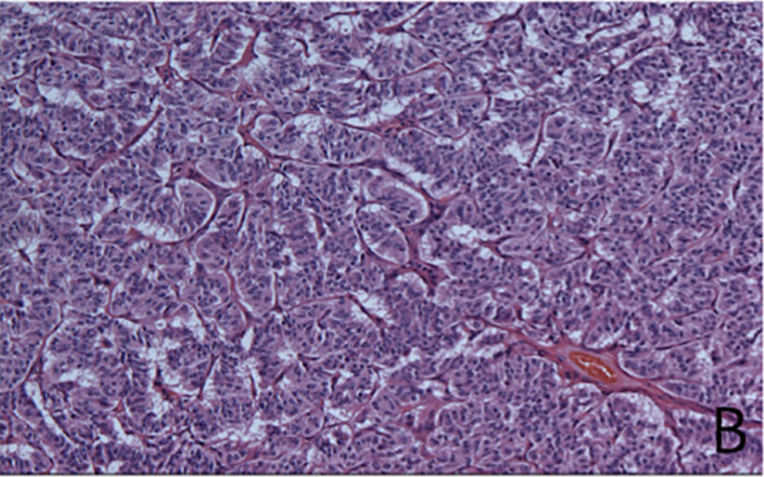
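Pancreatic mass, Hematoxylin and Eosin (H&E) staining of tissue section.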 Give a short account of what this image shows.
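Sheets of closely packed, fairly uniform tumor cells with round to oval purple nuclei and pale violet cytoplasm are arranged in nests, ribbons and rosette-like groups. The groups are divided by thin pink strands of fibrovascular stroma, with a small blood vessel near the lower right.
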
